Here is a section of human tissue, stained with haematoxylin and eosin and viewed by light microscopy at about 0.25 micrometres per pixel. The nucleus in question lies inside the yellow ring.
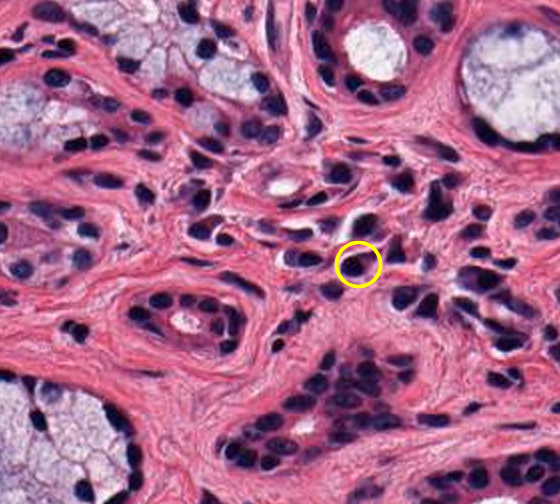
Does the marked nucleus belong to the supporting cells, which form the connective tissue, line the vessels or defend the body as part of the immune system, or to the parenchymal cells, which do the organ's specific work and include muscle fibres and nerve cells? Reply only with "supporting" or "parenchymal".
supporting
